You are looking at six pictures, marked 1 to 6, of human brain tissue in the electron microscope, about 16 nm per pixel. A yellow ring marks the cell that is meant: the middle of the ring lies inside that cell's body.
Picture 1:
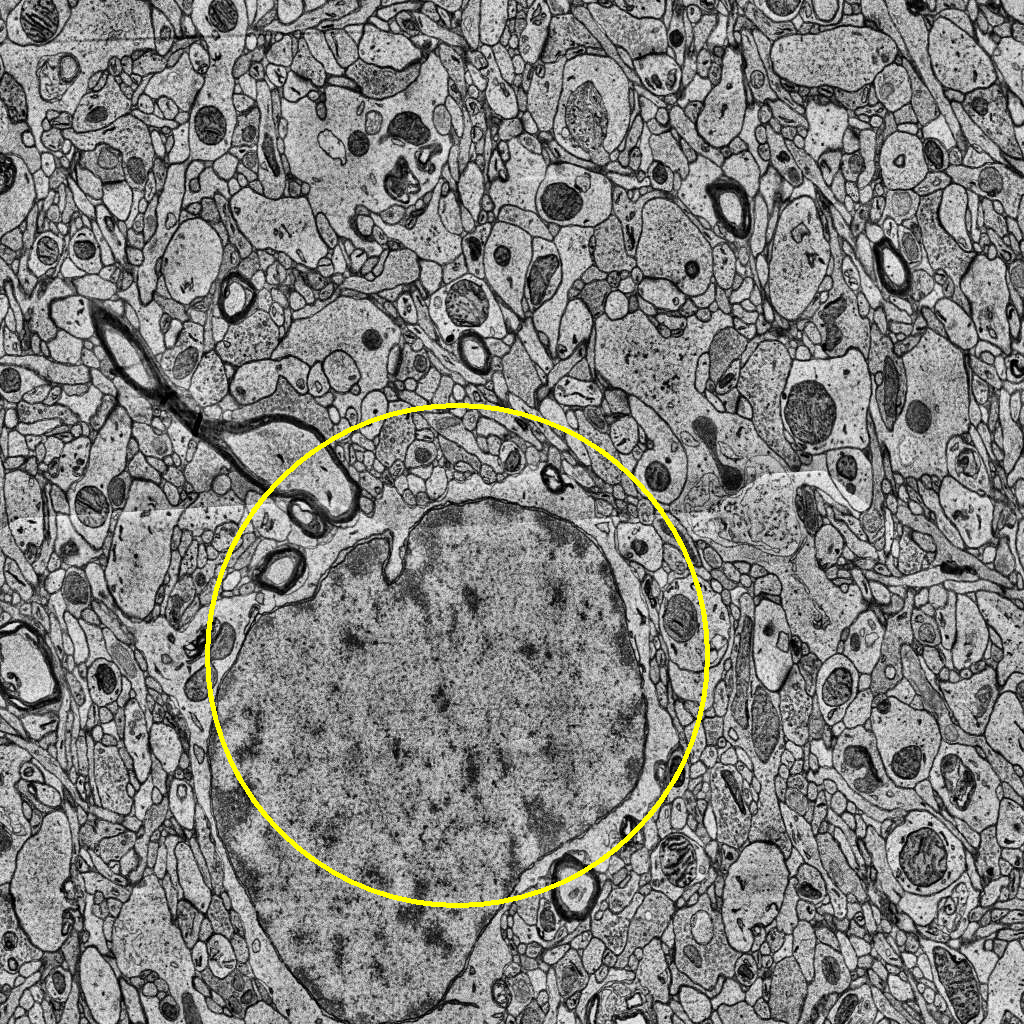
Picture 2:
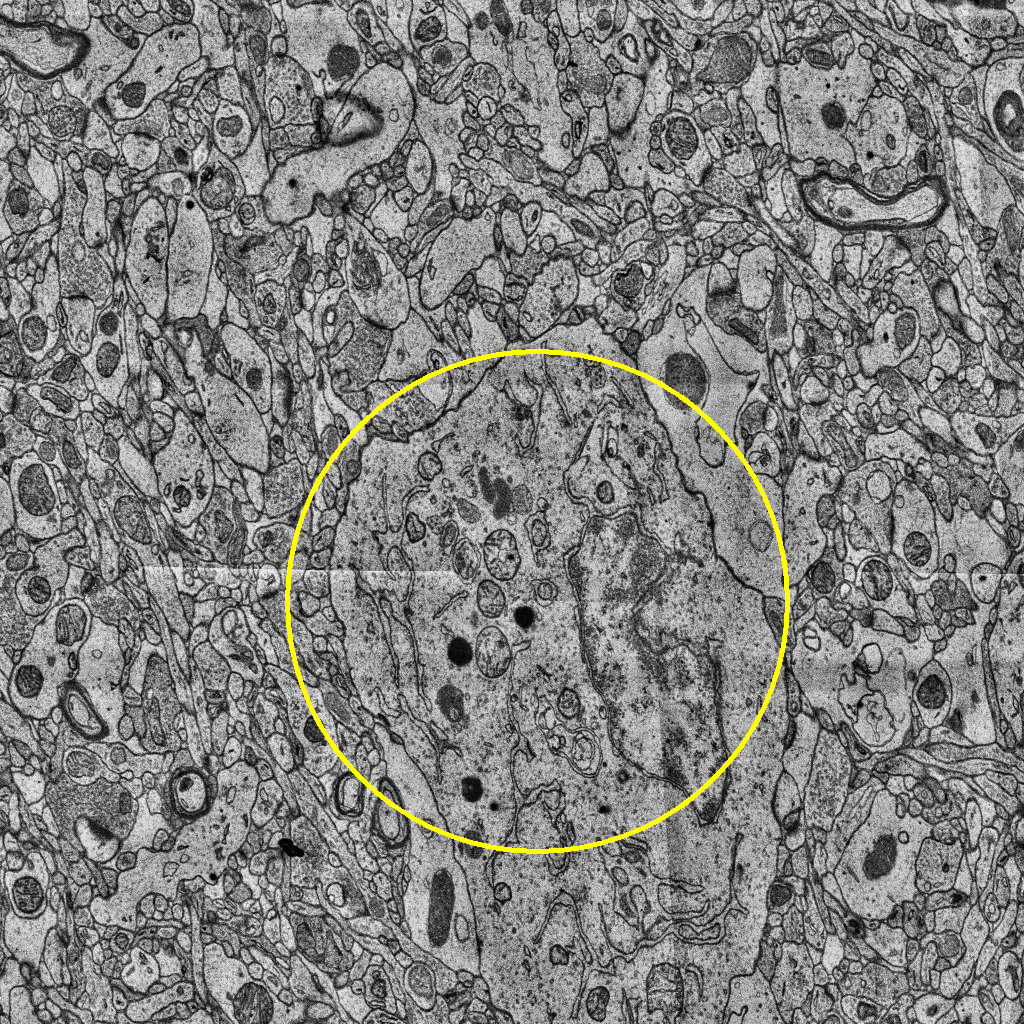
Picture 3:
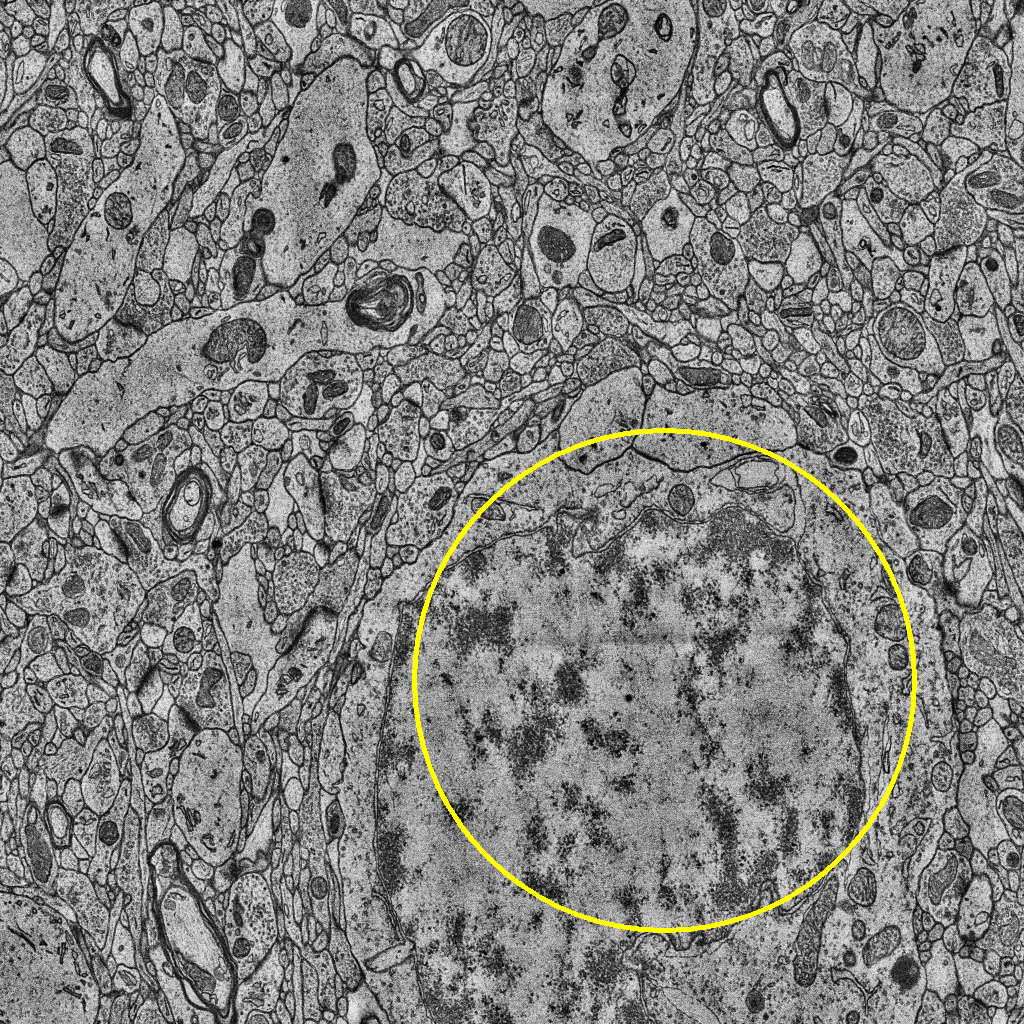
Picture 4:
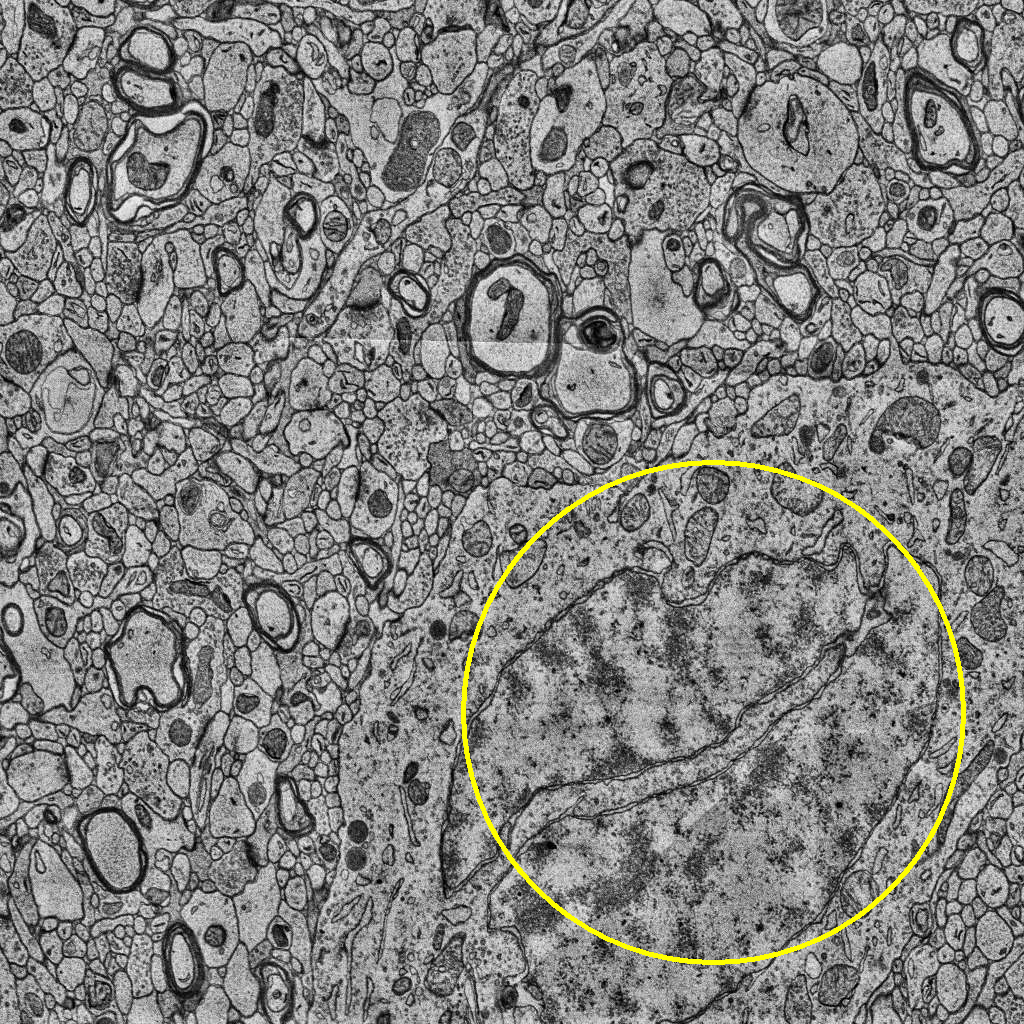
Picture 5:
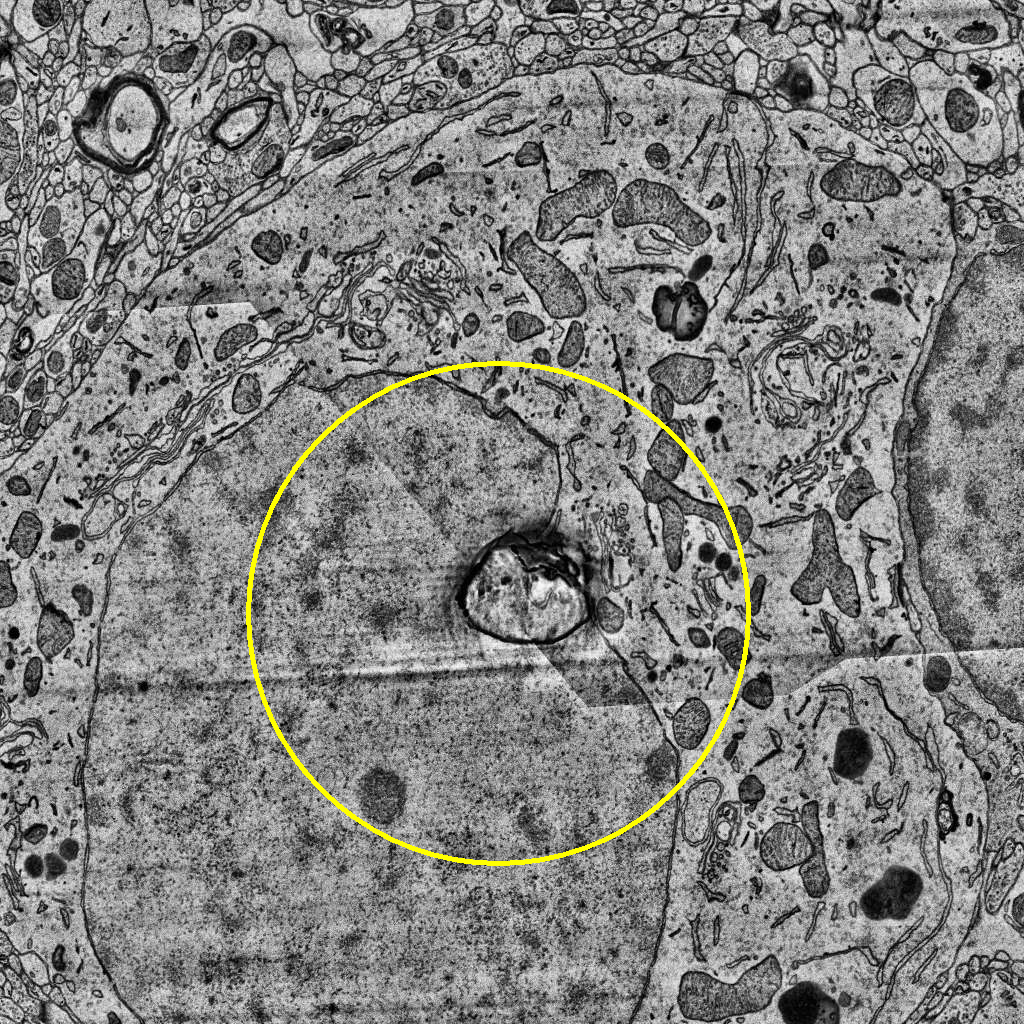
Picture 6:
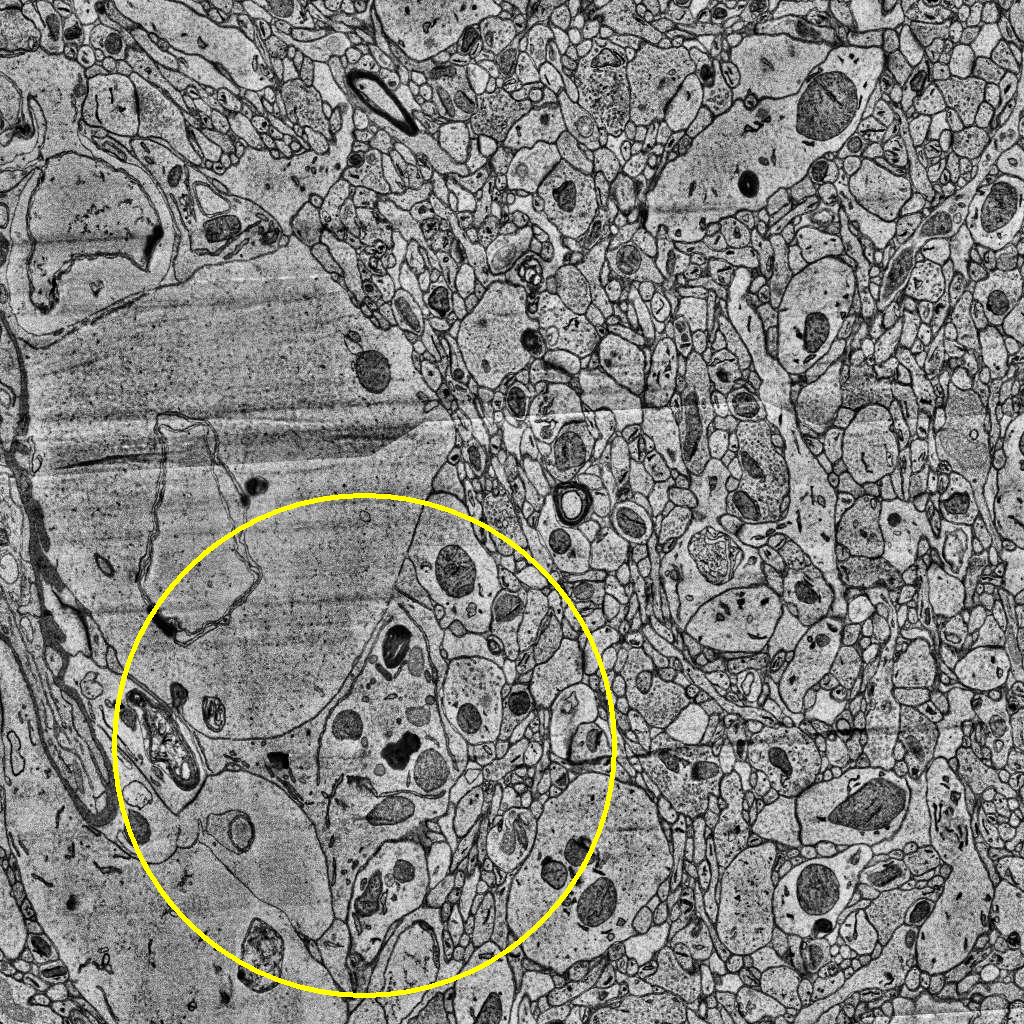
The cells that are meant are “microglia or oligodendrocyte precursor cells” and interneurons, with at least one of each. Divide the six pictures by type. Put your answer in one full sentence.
Pictures 1 and 6 show “microglia or oligodendrocyte precursor cells”, and pictures 2, 3, 4 and 5 show interneurons.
